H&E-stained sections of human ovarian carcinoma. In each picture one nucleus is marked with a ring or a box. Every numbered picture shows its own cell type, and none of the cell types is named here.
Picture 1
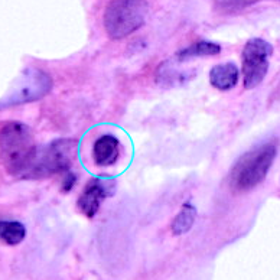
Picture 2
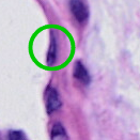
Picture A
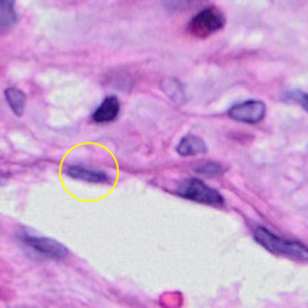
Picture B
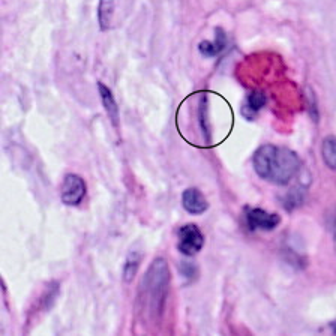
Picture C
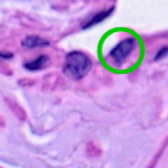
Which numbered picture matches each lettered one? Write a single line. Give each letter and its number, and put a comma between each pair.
A 2, B 2, C 2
